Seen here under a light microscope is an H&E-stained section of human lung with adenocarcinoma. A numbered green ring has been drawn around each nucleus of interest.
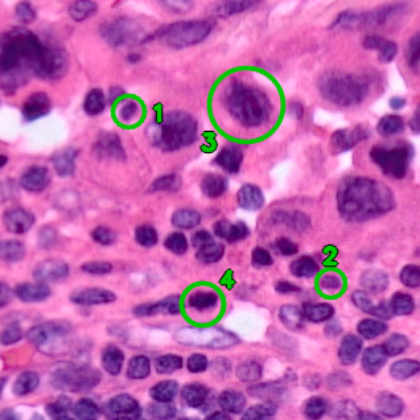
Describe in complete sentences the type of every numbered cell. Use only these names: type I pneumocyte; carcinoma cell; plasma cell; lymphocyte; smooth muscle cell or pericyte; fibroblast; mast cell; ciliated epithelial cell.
Cells 1, 2 and 4 are lymphocytes. Cell 3 is a carcinoma cell.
